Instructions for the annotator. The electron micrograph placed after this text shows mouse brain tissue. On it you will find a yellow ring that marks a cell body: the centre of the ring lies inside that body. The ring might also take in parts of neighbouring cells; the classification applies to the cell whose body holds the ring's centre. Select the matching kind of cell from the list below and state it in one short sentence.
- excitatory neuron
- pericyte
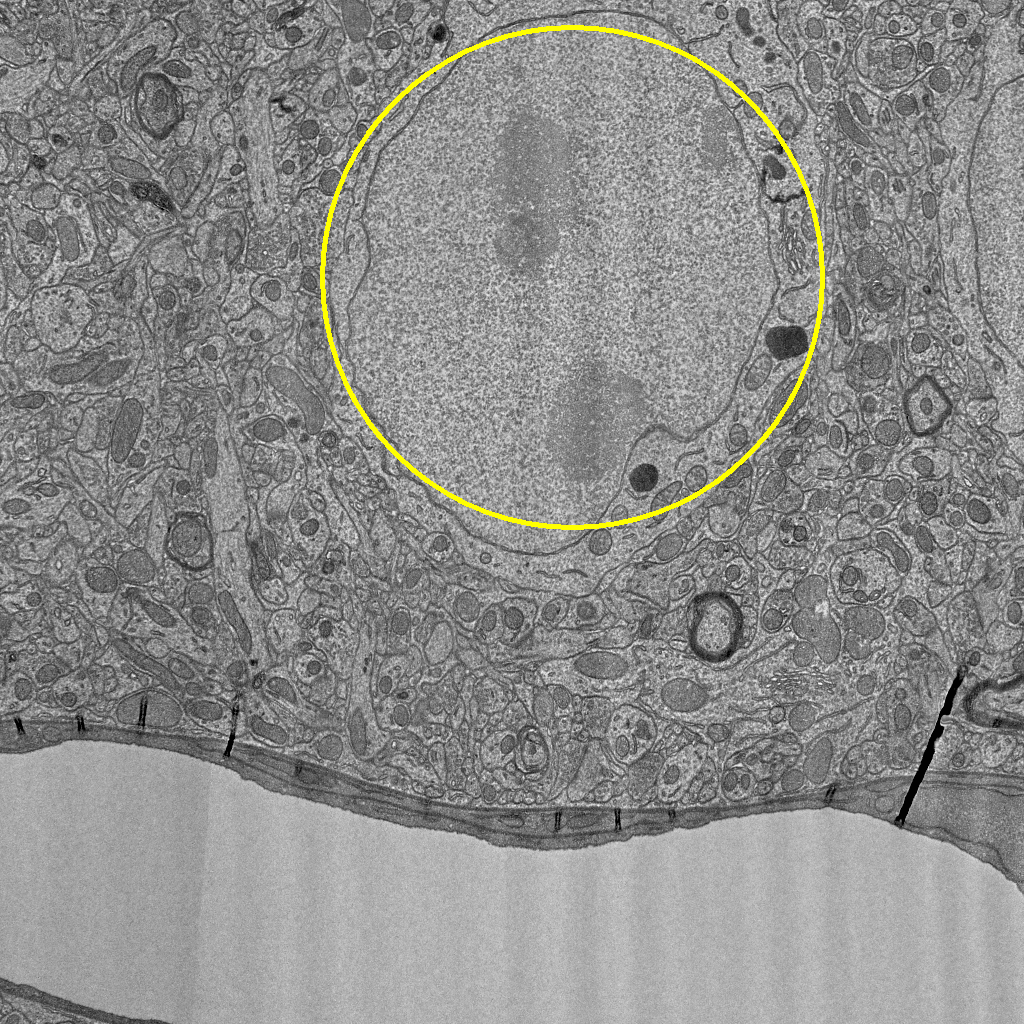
The centre of the ring lies in the cell body of an excitatory neuron.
